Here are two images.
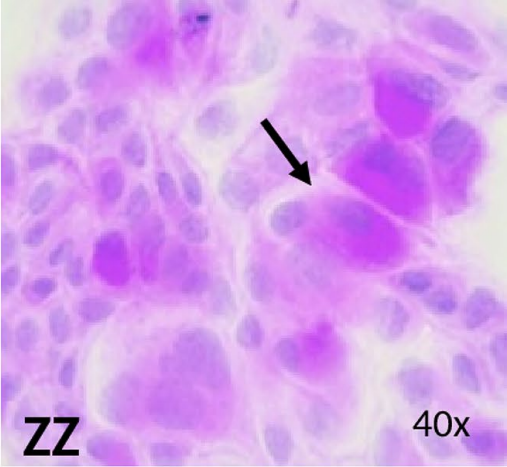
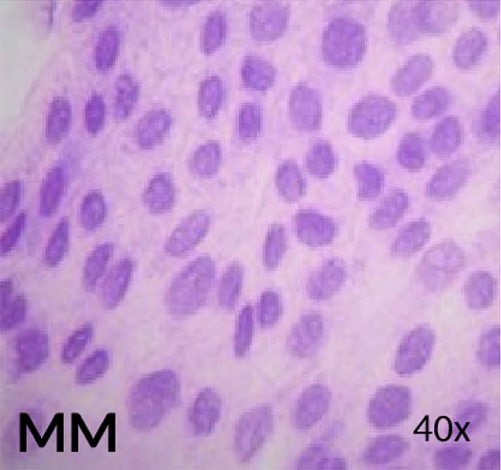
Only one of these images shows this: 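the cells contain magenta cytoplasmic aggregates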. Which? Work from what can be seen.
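First image: several cells hold large, dense magenta masses in their cytoplasm. Second image: only violet nuclei on a pale lilac background, with no magenta deposits. So: the first image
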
